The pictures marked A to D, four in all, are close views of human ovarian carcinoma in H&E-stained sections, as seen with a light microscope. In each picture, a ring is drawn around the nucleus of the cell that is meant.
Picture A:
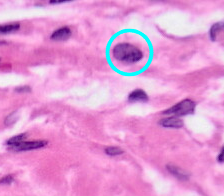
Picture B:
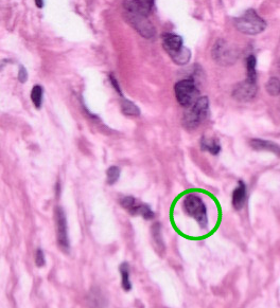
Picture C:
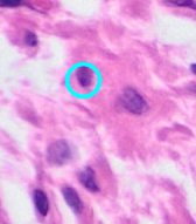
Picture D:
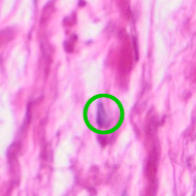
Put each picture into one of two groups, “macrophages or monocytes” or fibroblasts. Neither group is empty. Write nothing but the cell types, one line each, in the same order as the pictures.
macrophage or monocyte
macrophage or monocyte
fibroblast
fibroblast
